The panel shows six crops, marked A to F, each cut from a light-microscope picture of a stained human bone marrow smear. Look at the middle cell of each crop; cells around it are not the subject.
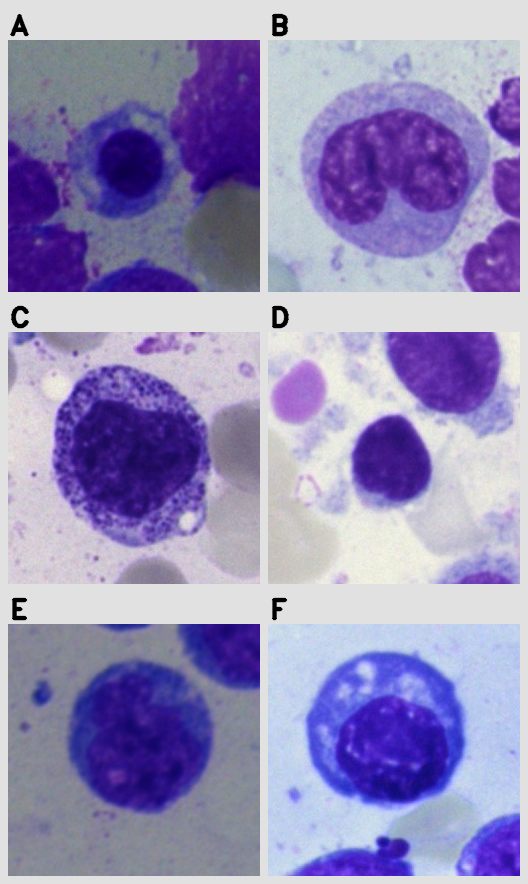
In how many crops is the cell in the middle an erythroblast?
2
